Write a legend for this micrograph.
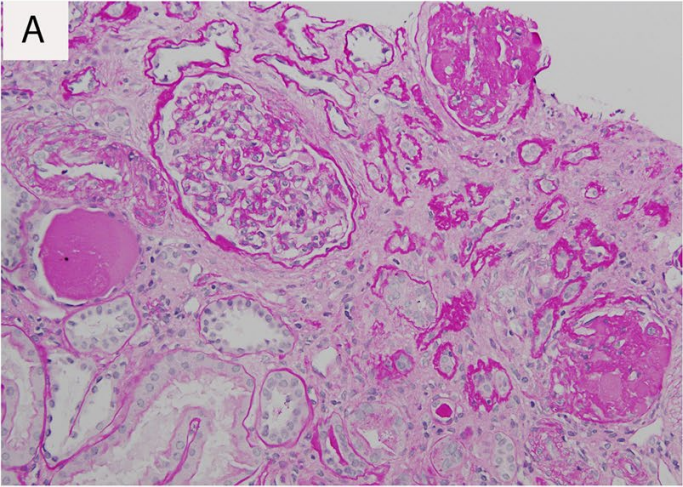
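Renal cortex with marked chronic scarring: glomeruli, tubules and interstitium. Two glomeruli at the upper and right edges are replaced by solid magenta scar, while a central glomerulus keeps its capillary tufts within a thickened capsule. Many tubules are small and atrophic with thick wrinkled magenta basement membranes, set apart by widened fibrous interstitium with scattered nuclei. A dilated tubule at the left is filled by a homogeneous magenta cast.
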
